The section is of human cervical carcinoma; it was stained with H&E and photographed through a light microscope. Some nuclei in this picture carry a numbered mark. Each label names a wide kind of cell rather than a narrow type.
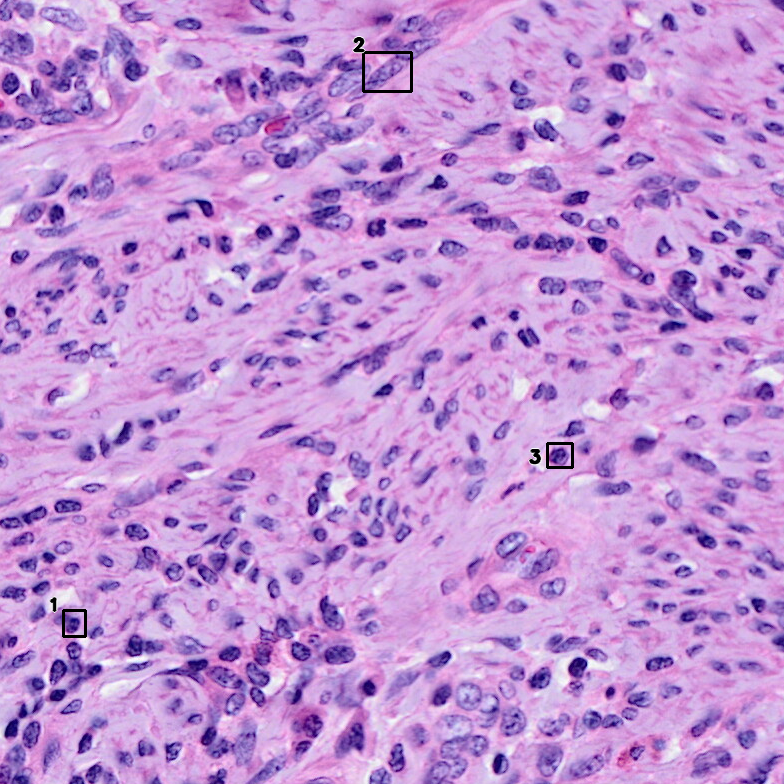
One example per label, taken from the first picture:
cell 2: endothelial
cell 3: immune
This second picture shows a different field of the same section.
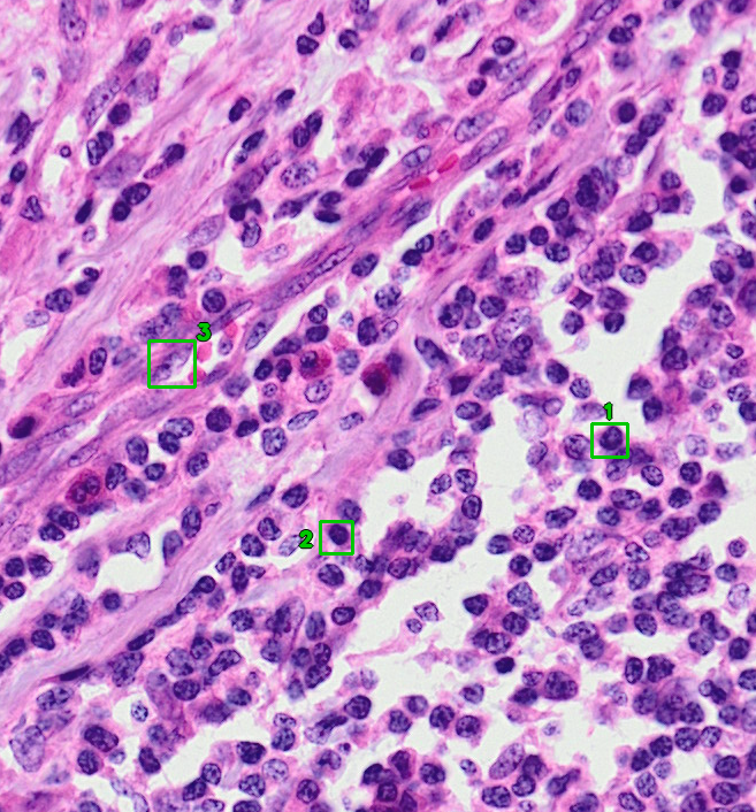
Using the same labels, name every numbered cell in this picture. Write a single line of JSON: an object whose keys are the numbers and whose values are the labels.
{"1": "immune", "2": "immune", "3": "endothelial"}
